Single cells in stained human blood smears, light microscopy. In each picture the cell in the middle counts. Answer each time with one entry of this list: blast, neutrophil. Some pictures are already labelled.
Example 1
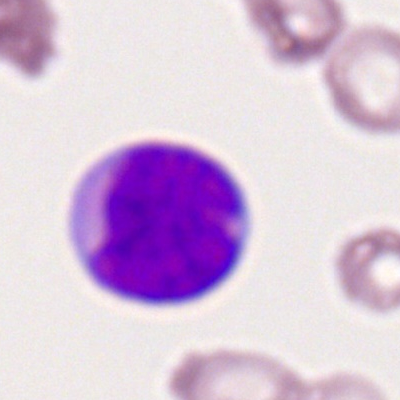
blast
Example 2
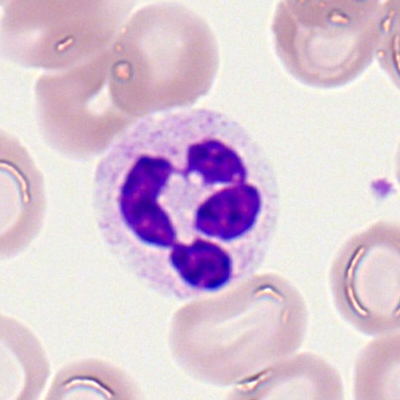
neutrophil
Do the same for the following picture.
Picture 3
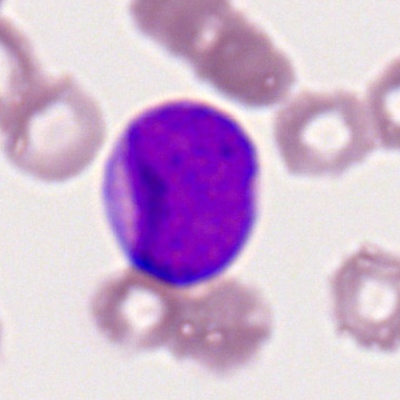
blast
